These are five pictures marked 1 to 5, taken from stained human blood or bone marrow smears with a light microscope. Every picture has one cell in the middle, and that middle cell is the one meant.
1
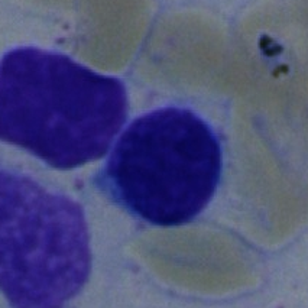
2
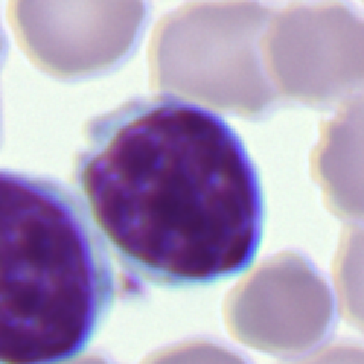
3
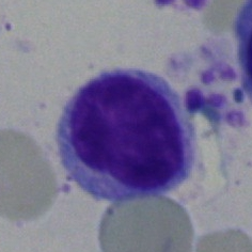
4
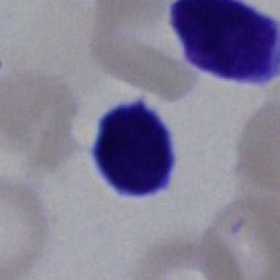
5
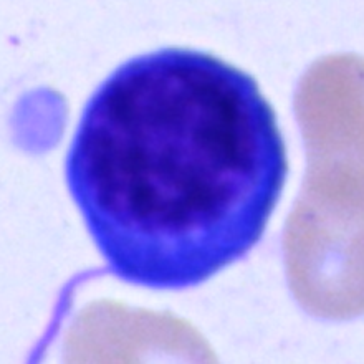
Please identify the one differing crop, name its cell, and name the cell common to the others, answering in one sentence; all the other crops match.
Crop 5 alone is a plasma cell, and the other crops are all lymphocytes.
